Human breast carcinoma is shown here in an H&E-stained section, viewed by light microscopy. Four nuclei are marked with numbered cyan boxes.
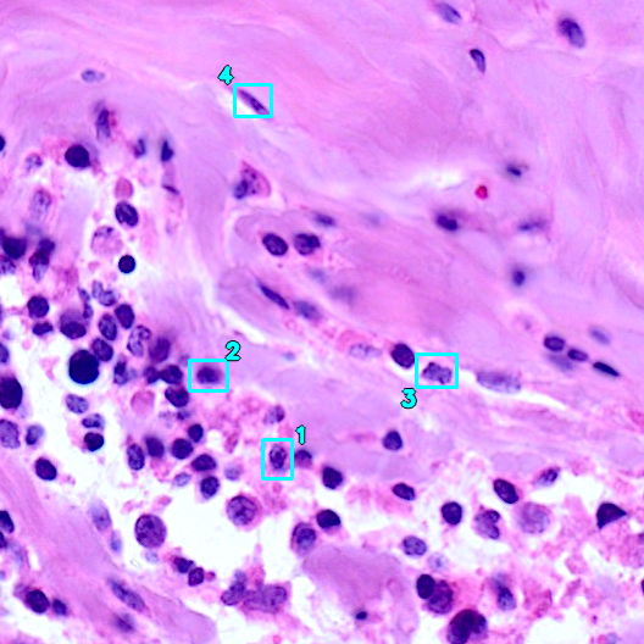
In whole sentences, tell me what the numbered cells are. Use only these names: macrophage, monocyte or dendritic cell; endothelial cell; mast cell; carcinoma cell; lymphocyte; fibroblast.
Cells 1, 2 and 3 are lymphocytes. Cell 4 is a fibroblast.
